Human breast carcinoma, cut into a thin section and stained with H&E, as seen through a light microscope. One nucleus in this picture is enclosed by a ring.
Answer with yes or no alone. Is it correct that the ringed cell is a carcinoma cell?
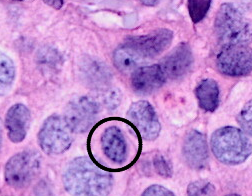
yes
